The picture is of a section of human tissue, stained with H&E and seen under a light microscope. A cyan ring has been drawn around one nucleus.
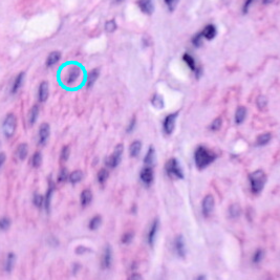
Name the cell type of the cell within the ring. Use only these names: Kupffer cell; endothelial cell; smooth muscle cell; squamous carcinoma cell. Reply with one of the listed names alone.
smooth muscle cell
